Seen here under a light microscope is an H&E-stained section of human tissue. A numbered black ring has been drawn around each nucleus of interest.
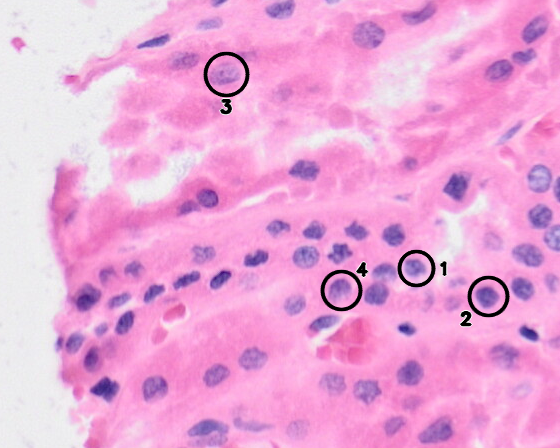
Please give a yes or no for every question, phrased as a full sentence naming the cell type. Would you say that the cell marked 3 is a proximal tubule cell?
Yes, the cell that bears number 3 is a proximal tubule cell.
